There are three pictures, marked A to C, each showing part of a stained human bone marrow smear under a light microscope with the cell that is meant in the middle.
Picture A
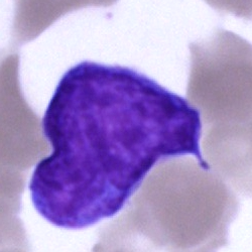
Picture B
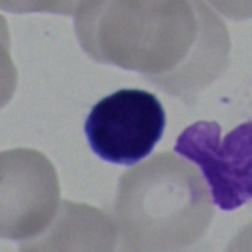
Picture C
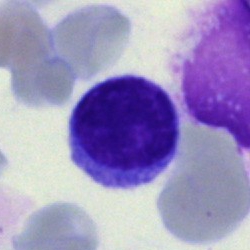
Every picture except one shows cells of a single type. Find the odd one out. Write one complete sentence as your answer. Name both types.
All pictures except A show lymphocytes; picture A shows a blast.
